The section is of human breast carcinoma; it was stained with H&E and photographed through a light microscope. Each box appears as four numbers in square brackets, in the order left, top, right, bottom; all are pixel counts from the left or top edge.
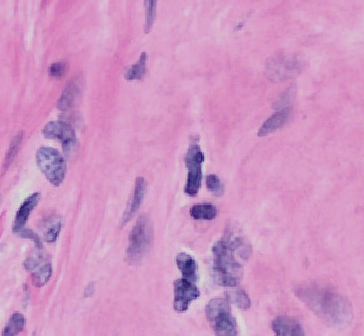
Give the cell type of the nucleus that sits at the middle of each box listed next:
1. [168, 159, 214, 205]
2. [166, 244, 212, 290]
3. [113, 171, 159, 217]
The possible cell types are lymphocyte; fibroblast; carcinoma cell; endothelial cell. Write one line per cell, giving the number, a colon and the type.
1: lymphocyte
2: lymphocyte
3: fibroblast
